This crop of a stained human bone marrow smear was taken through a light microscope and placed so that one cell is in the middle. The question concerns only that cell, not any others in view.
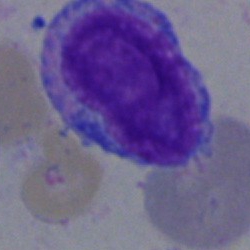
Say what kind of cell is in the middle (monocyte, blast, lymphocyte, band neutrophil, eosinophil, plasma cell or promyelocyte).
blast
